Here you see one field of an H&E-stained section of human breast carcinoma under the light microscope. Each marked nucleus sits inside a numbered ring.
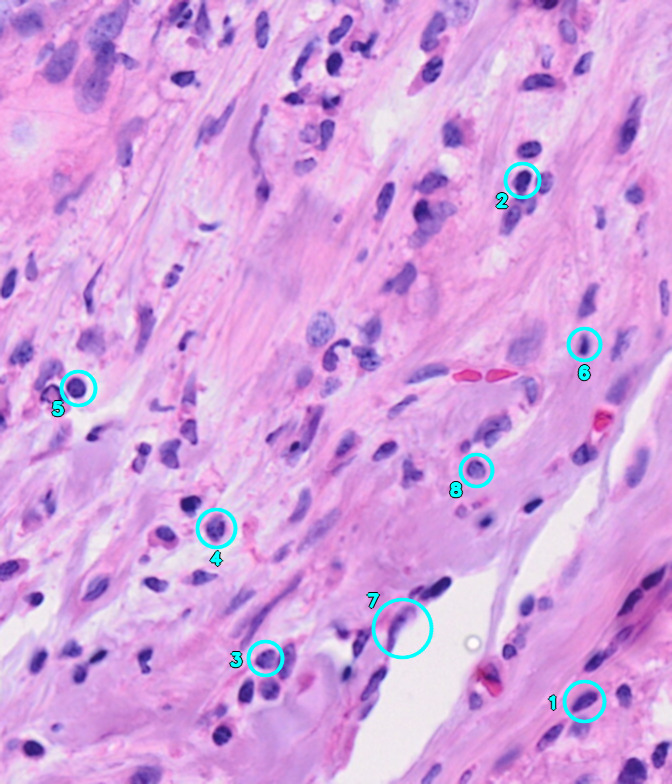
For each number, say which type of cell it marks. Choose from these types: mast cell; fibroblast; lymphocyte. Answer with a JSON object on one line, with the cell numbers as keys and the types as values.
{"1": "lymphocyte", "2": "lymphocyte", "3": "lymphocyte", "4": "mast cell", "5": "lymphocyte", "6": "lymphocyte", "7": "fibroblast", "8": "mast cell"}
